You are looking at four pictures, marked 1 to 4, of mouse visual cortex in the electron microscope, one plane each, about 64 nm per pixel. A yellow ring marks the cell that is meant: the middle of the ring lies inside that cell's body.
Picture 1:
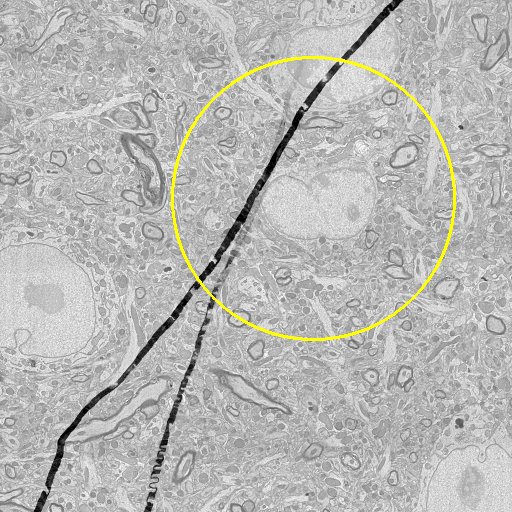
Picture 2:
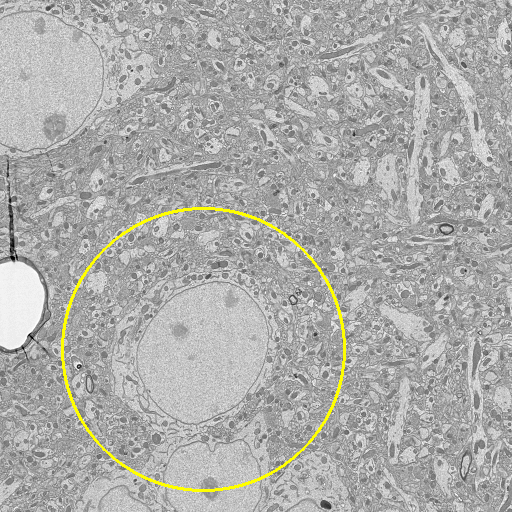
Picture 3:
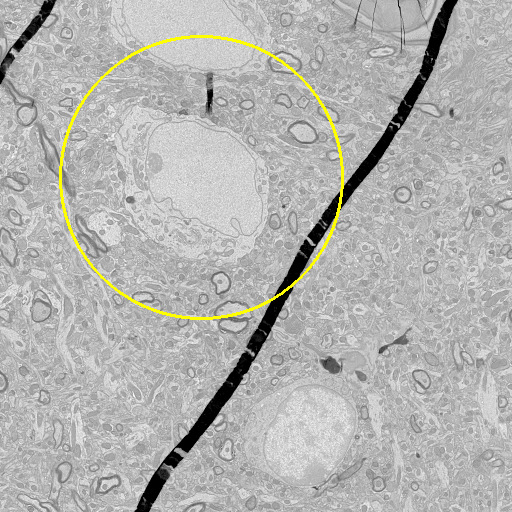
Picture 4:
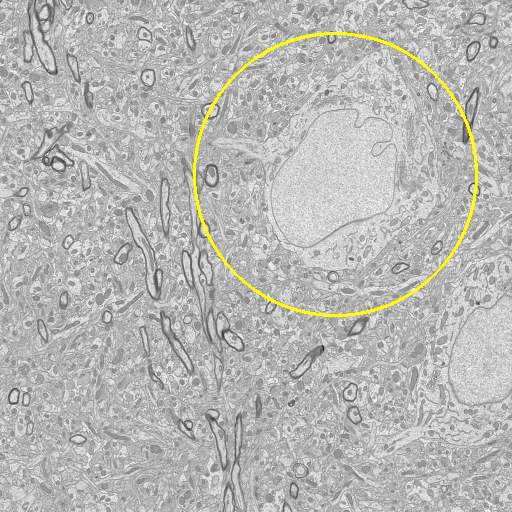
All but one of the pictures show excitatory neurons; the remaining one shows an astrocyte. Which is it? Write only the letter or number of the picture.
1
